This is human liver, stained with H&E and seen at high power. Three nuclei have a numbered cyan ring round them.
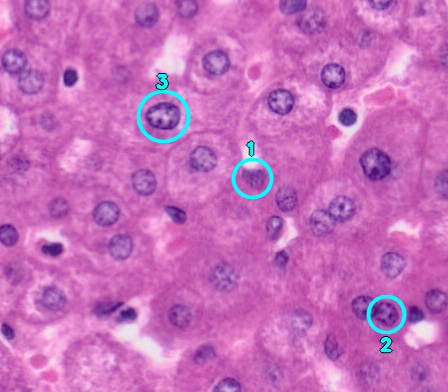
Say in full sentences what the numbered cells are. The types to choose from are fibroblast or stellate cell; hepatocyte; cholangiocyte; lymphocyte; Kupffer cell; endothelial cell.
Cell 1 is an endothelial cell, cell 2 is a hepatocyte and cell 3 is a hepatocyte.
